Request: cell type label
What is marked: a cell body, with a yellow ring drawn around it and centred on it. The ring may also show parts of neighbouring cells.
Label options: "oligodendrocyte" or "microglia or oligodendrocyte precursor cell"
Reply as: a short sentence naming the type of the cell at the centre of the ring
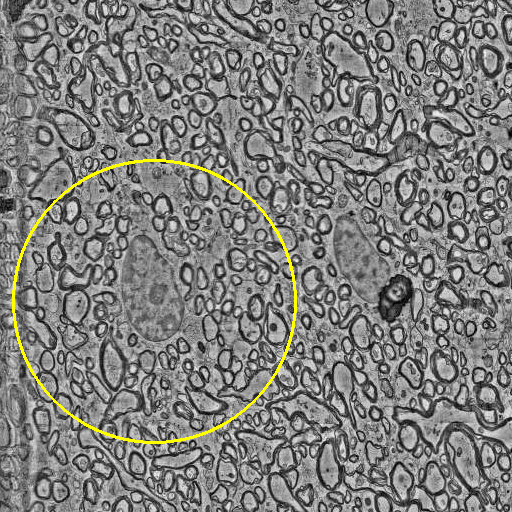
The marked cell body is that of a microglial cell or oligodendrocyte precursor cell.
